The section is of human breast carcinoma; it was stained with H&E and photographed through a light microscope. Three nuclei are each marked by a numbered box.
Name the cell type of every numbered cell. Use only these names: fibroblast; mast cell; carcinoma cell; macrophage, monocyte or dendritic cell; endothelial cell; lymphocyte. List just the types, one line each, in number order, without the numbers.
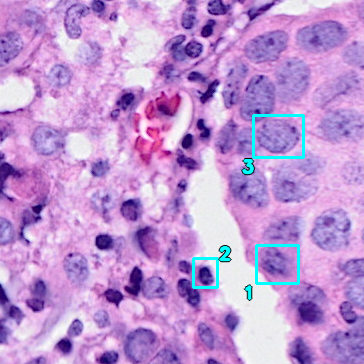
carcinoma cell
lymphocyte
carcinoma cell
